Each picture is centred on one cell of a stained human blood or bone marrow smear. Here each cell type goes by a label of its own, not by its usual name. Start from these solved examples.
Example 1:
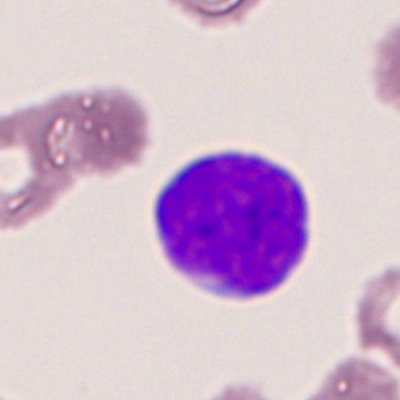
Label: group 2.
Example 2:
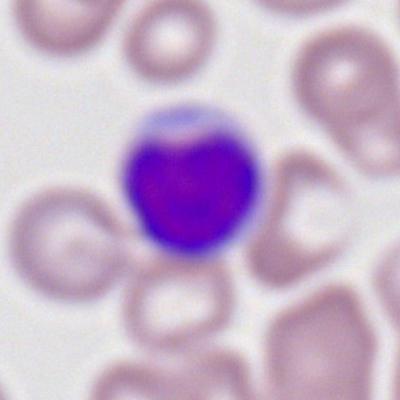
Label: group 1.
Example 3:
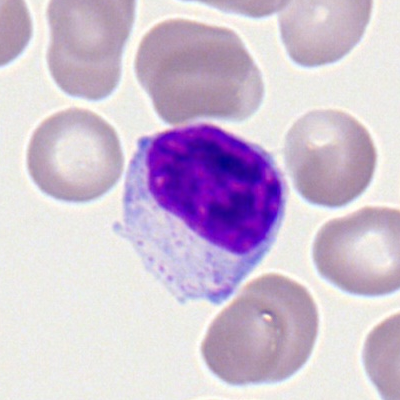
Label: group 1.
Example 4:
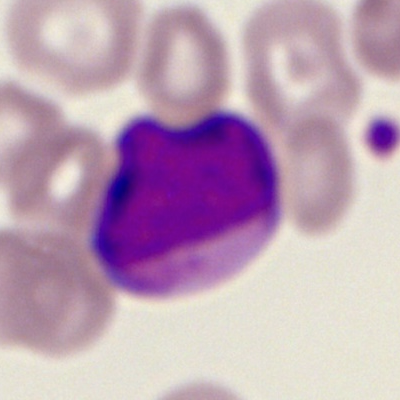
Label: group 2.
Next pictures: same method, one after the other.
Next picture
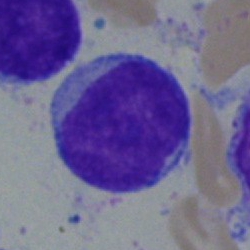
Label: group 2.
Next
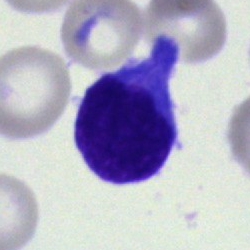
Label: group 2.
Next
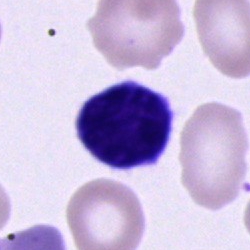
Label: group 1.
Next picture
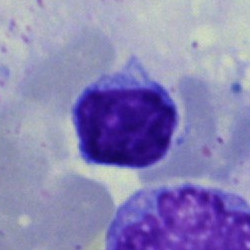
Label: group 1.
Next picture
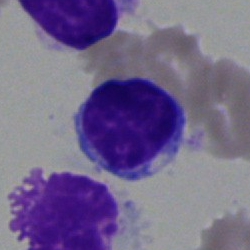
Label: group 1.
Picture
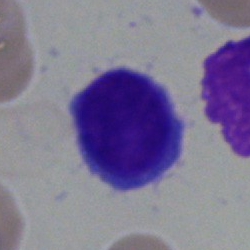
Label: group 1.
